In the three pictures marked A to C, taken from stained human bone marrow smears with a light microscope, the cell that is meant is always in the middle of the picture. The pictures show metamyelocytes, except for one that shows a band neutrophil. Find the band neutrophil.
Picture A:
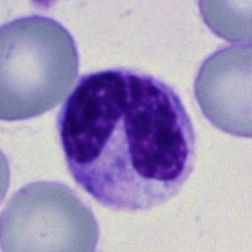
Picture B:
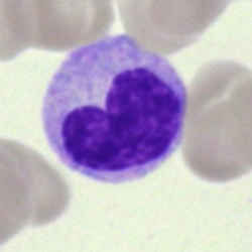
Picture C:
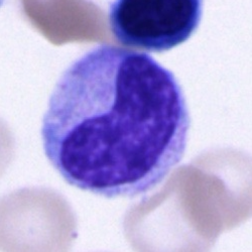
A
